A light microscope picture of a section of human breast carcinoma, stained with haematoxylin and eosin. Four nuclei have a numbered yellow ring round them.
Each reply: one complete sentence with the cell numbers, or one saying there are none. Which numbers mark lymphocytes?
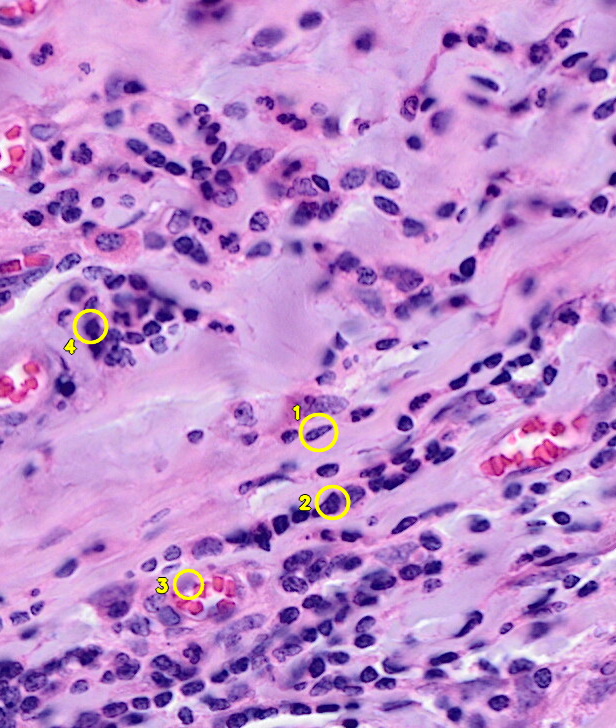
The cells carrying the numbers 1, 2 and 4 are lymphocytes.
